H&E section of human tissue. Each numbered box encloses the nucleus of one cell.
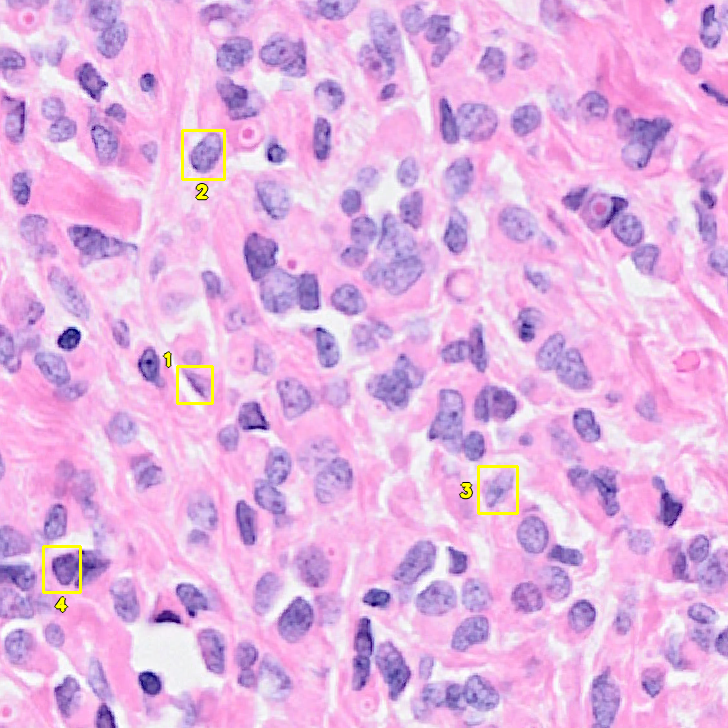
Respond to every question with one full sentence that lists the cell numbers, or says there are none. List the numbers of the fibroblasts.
In this section, the cells numbered 1 and 3 are fibroblasts.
